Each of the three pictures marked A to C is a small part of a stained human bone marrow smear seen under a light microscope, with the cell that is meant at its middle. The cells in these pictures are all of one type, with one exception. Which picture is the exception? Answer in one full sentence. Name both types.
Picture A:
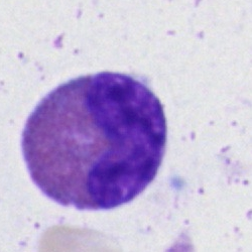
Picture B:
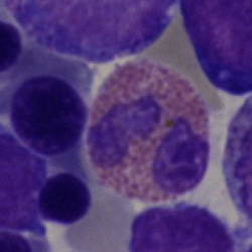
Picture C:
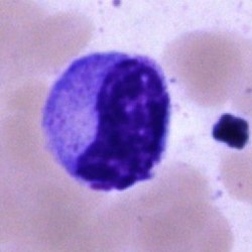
Picture C differs, because its cell is a metamyelocyte and the rest are eosinophils.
